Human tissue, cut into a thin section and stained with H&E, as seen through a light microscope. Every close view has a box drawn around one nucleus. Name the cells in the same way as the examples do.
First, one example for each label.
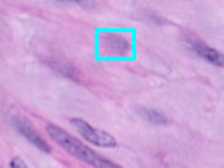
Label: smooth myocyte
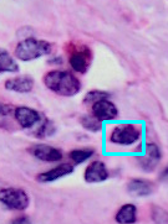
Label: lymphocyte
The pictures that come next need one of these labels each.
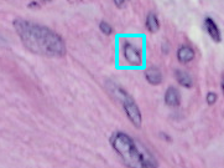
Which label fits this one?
smooth myocyte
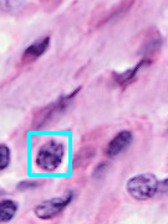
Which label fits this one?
lymphocyte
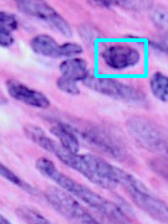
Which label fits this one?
lymphocyte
